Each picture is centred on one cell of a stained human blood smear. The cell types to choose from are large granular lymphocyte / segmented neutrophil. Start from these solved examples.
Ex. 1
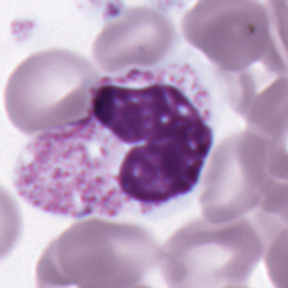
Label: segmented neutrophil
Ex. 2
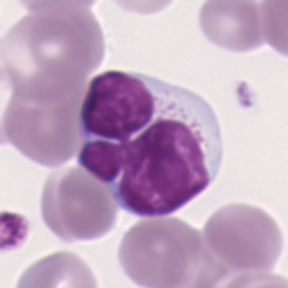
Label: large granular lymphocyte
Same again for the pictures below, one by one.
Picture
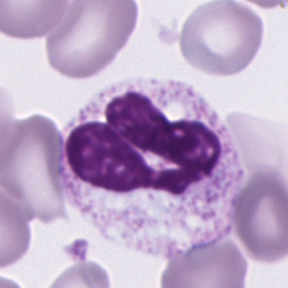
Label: segmented neutrophil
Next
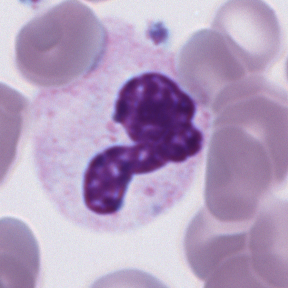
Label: segmented neutrophil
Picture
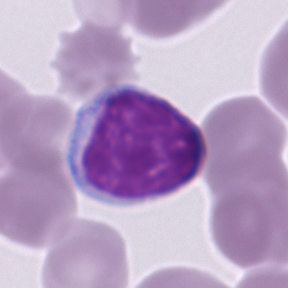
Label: large granular lymphocyte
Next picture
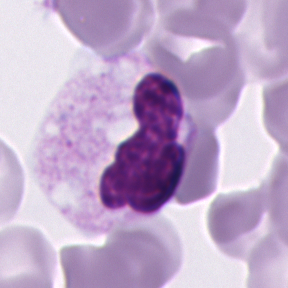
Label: segmented neutrophil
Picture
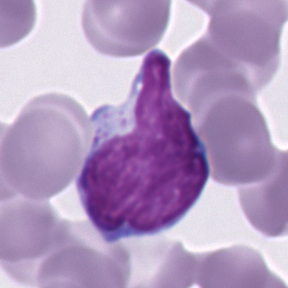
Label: large granular lymphocyte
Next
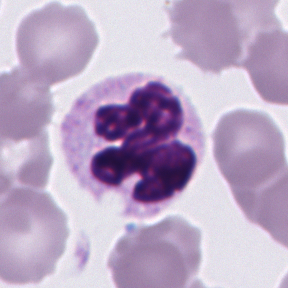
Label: segmented neutrophil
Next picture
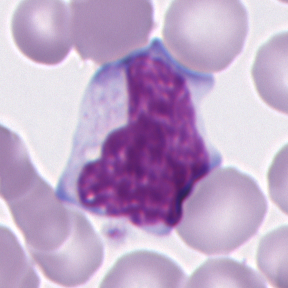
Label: large granular lymphocyte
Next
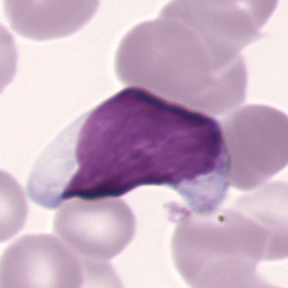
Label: large granular lymphocyte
